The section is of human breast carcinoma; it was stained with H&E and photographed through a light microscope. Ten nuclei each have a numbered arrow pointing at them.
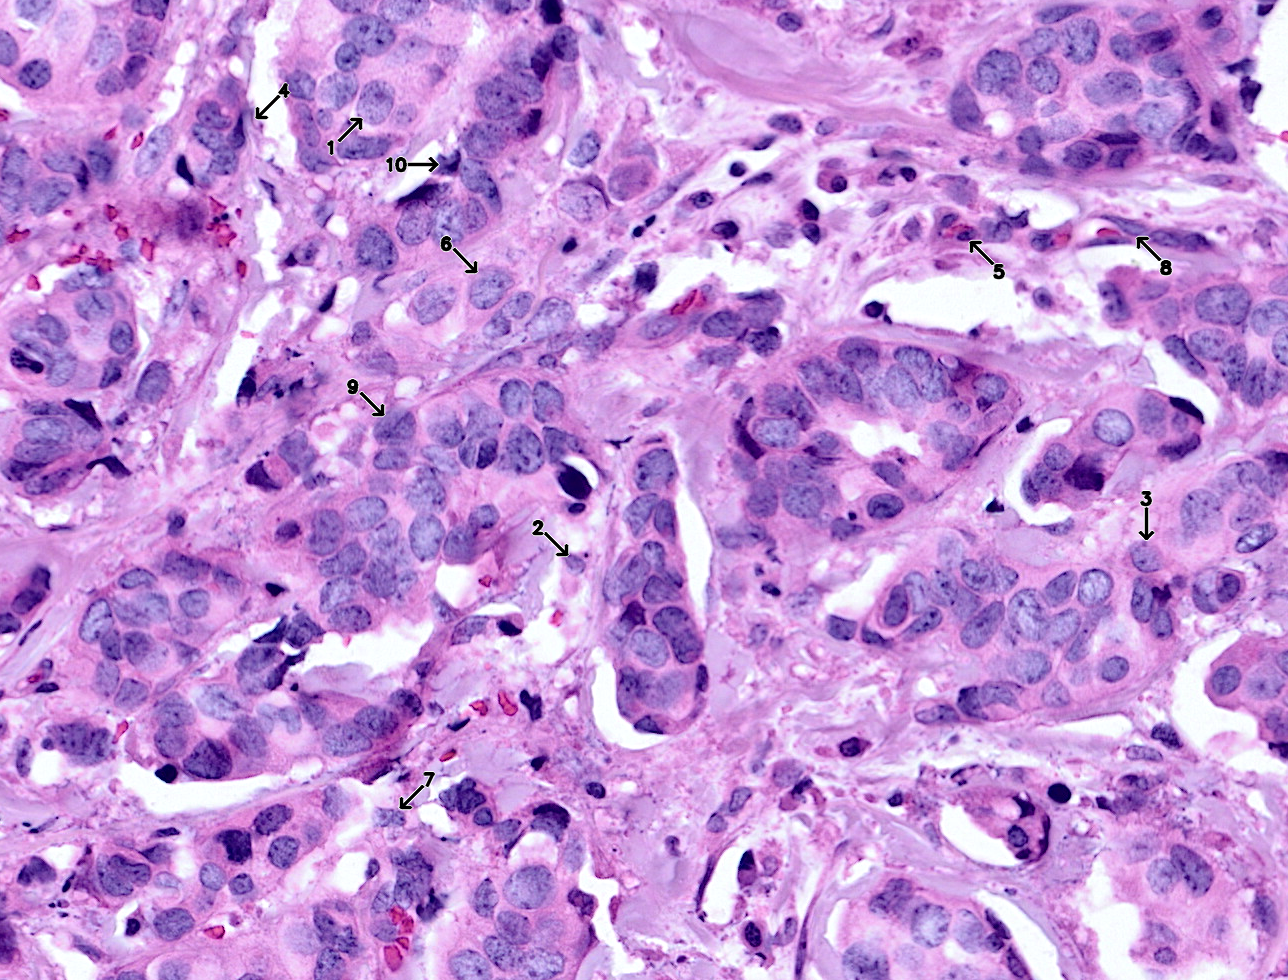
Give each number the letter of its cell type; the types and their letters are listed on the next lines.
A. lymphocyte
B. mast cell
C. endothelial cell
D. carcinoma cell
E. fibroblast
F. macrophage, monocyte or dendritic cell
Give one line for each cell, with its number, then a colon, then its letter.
1: D
2: F
3: D
4: D
5: C
6: D
7: F
8: C
9: D
10: D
